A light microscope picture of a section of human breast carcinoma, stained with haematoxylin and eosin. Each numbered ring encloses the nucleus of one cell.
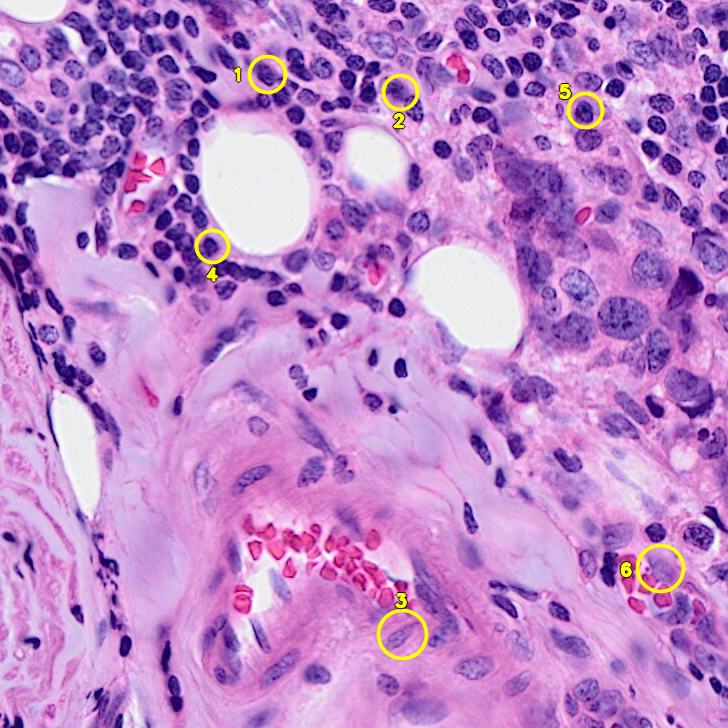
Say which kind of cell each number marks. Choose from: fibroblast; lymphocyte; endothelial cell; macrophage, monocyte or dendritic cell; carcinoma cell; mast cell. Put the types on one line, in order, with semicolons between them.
lymphocyte; lymphocyte; endothelial cell; lymphocyte; lymphocyte; endothelial cell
